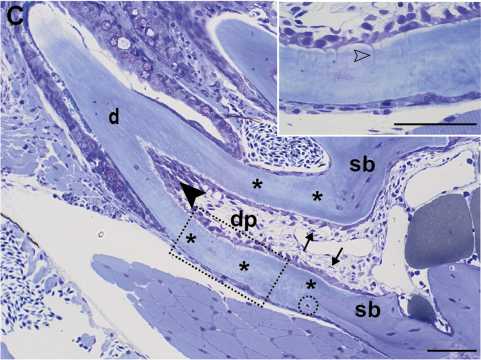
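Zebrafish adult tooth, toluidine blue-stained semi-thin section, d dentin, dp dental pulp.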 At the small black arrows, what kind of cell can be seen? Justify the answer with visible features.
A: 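The arrows point to flattened cells lining the pulpal surface of the mineralized tissue. These cells lie in a thin layer against the matrix. So: scleroblasts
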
